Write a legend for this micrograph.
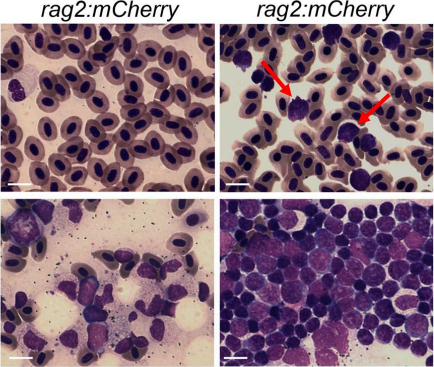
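The upper two fields are blood smears dominated by oval, nucleated red blood cells, each with a pale pink-grey cytoplasm and a small, dense, dark purple central nucleus. In the right blood field, scattered among the red cells, are larger round cells with a big, deep purple nucleus and only a narrow rim of cytoplasm, which are circulating blast cells. The lower left marrow field shows a mixed population of cells of differing size and shape, with irregular nuclei and varied cytoplasm, interspersed with red cells and clear spaces. The lower right marrow field is instead packed with a crowded, uniform sheet of round cells with large, darkly stained nuclei and scant cytoplasm, with little of the mixed cell variety seen on the left.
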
